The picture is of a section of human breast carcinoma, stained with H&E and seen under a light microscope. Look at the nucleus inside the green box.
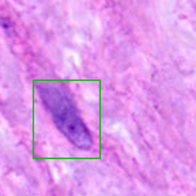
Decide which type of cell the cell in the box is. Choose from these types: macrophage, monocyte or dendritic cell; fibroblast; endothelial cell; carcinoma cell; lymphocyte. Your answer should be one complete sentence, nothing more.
In the tissue at hand, the cell in the box is a fibroblast.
